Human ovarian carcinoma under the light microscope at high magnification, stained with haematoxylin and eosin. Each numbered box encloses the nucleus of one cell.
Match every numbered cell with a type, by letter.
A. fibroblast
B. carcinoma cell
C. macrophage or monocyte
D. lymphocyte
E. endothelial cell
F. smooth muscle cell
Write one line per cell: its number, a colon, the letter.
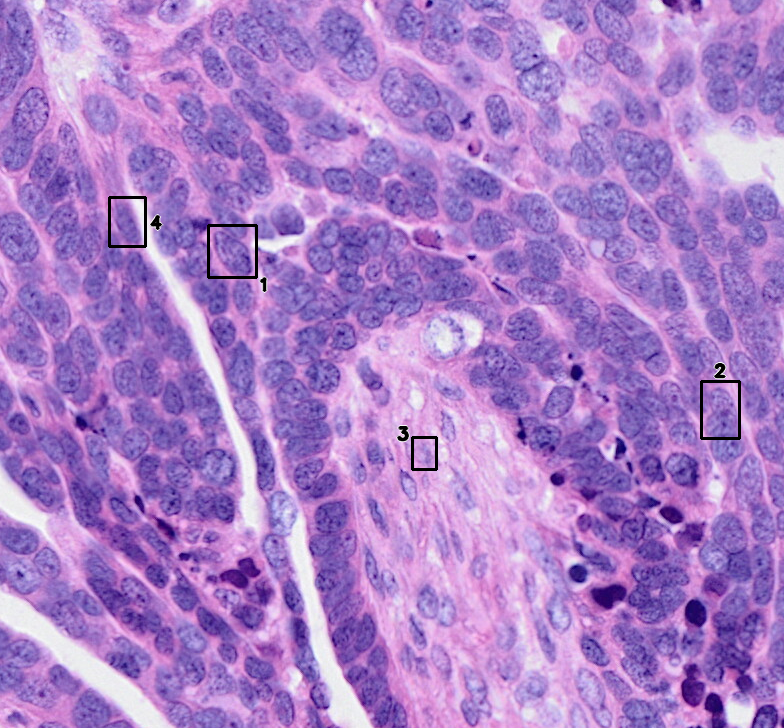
1: B
2: B
3: A
4: B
